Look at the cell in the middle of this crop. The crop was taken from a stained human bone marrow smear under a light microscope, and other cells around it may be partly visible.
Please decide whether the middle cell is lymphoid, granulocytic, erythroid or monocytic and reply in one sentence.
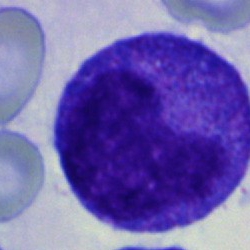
In this crop, the central cell belongs to the granulocytic lineage.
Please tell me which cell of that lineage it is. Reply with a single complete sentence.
The cell at the middle of the crop is recognized as a promyelocyte.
